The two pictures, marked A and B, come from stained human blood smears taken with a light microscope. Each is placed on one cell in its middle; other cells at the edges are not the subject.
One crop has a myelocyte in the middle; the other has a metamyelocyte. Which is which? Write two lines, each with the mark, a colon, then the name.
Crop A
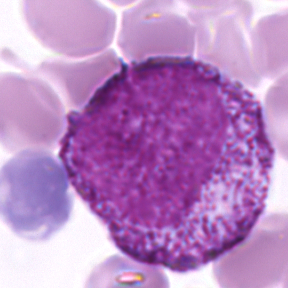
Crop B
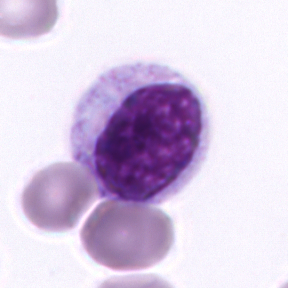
A: myelocyte
B: metamyelocyte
